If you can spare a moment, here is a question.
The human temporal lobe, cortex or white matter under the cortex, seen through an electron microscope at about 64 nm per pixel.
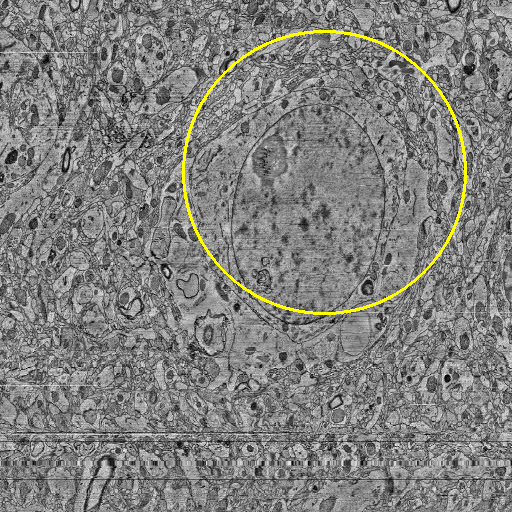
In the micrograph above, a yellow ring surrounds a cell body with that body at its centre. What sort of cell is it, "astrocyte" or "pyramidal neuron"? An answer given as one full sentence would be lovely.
Centred inside the yellow ring, the cell body shown belongs to a pyramidal neuron in this micrograph.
